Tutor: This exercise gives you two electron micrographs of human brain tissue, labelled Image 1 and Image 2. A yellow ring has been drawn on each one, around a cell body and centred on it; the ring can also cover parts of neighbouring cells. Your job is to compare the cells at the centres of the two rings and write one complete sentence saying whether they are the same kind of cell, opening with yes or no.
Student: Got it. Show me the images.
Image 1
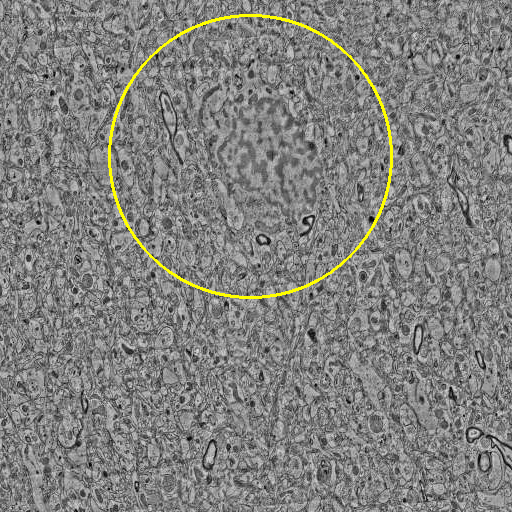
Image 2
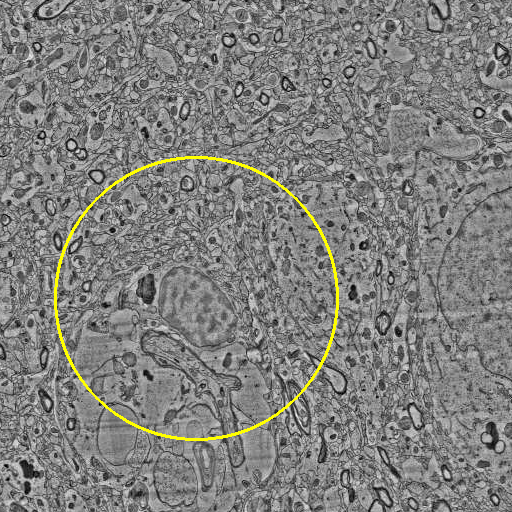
Yes, the two cells belong to the same kind.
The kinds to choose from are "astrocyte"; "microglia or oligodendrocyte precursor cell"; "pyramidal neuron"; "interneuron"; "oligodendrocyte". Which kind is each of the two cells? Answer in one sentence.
The first and the second cell are each an oligodendrocyte.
